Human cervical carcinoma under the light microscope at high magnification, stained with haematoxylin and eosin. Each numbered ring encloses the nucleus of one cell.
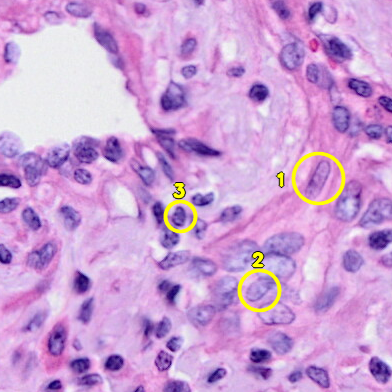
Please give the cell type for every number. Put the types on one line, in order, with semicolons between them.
endothelial cell; endothelial cell; lymphocyte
